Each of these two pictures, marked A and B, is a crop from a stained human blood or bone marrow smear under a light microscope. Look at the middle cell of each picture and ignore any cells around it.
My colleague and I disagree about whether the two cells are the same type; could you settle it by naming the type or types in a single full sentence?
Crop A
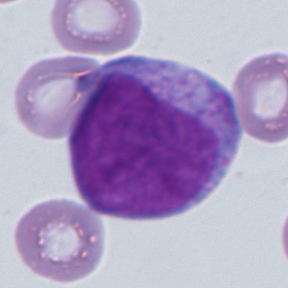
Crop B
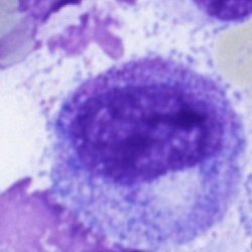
No, a promyelocyte is the subject of crop A, and a myelocyte is the subject of crop B.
